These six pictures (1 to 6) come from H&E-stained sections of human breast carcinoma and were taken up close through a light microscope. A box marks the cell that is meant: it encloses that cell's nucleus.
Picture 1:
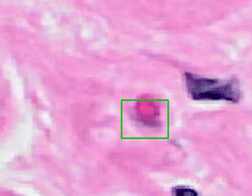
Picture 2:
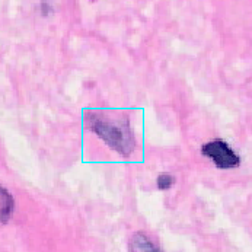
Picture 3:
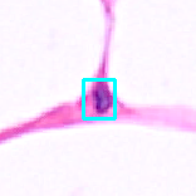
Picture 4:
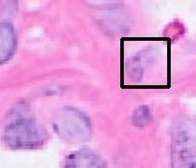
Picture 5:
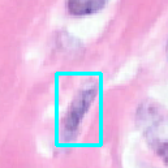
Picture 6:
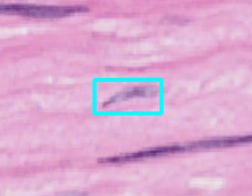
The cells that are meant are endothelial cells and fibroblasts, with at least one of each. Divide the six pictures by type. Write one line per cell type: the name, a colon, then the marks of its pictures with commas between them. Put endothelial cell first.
endothelial cell: 1, 3, 4
fibroblast: 2, 5, 6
